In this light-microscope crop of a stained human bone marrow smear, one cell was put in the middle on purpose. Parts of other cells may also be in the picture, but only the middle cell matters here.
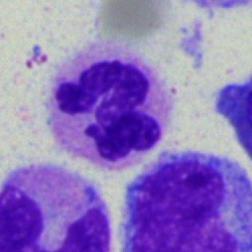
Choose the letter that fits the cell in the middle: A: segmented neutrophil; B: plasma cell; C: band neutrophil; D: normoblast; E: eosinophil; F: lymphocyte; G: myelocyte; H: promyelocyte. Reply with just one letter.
A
